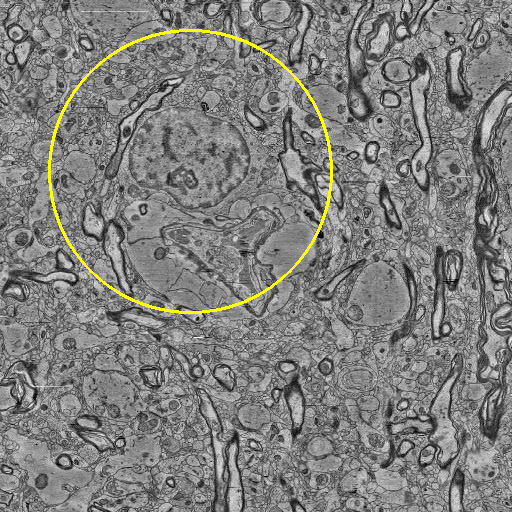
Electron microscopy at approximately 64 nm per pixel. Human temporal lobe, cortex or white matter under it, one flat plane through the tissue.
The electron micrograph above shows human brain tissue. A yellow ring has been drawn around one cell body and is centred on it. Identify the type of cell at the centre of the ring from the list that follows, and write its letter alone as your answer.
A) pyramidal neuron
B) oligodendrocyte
B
